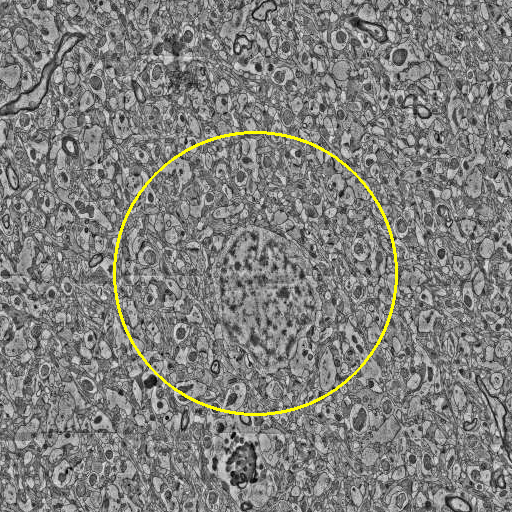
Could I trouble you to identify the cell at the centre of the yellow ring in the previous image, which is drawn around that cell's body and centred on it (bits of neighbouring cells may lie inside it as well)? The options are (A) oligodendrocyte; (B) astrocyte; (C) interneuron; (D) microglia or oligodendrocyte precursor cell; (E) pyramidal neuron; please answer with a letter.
C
